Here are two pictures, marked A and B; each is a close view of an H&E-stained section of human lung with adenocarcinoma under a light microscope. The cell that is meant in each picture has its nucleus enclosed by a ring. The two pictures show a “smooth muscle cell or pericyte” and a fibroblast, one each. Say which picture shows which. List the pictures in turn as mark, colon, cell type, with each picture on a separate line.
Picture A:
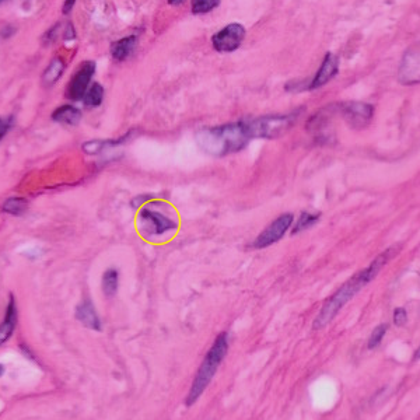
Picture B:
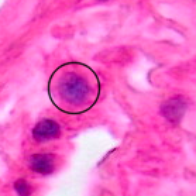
A: fibroblast
B: smooth muscle cell or pericyte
